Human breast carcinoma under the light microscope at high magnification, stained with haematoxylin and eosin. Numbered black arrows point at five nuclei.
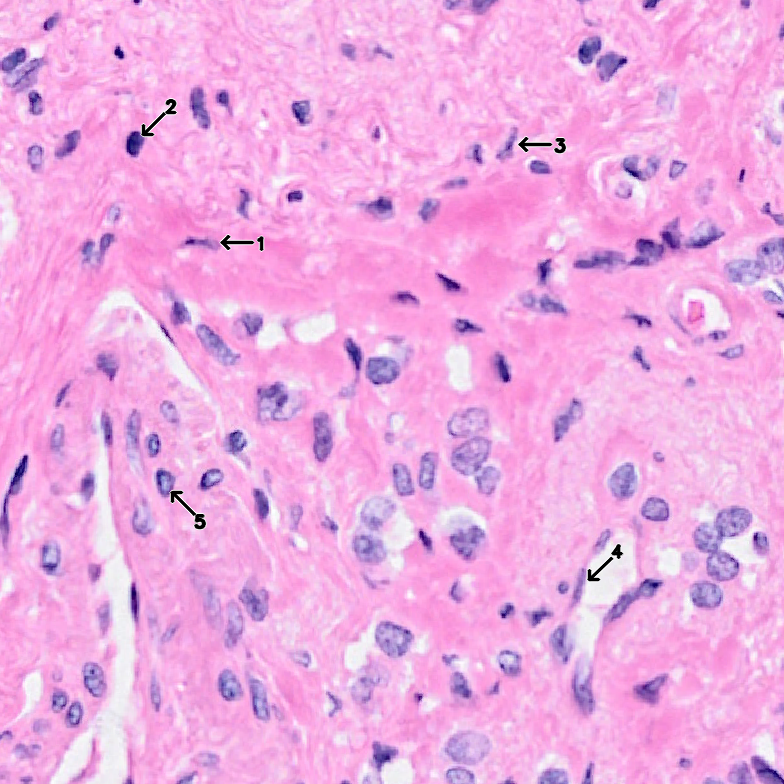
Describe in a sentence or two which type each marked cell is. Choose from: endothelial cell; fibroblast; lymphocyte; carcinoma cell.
Cell 1 is a fibroblast, cell 2 is a lymphocyte, cell 3 is a fibroblast, cell 4 is an endothelial cell and cell 5 is an endothelial cell.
